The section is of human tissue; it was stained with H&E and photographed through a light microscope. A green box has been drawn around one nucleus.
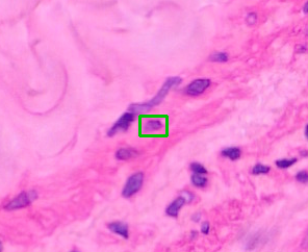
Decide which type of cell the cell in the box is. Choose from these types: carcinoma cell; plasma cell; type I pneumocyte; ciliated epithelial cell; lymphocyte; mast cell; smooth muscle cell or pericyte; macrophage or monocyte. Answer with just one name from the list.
smooth muscle cell or pericyte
